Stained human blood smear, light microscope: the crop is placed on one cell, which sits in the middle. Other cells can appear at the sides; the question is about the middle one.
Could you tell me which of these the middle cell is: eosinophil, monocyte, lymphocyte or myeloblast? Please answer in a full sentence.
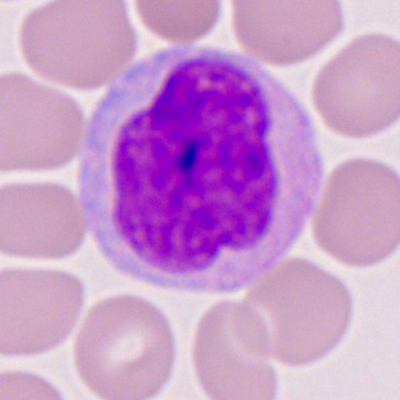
In short, the cell at the center is a monocyte.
